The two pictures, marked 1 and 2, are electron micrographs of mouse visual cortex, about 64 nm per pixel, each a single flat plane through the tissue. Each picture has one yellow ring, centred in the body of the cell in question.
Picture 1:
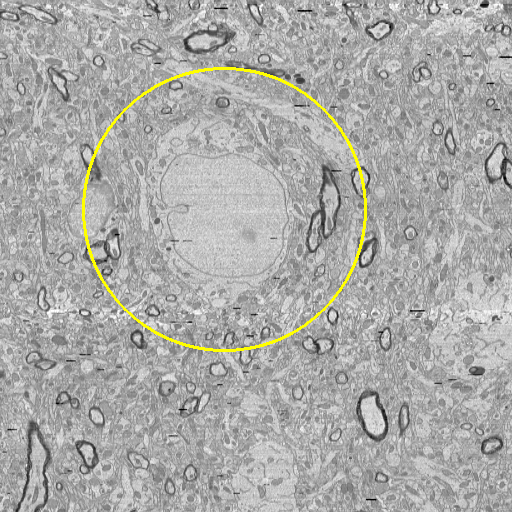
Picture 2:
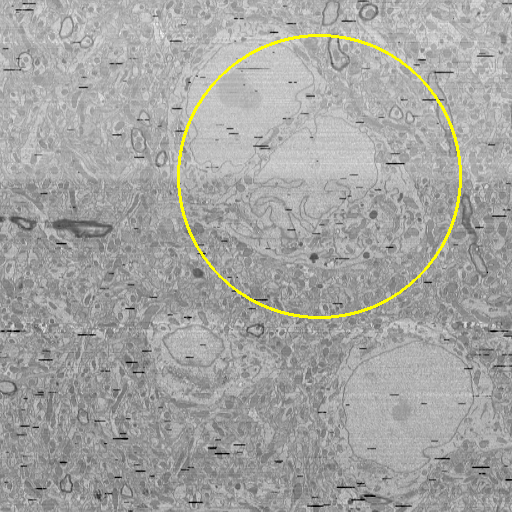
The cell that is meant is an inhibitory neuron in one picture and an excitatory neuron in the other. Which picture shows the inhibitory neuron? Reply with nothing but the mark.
2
